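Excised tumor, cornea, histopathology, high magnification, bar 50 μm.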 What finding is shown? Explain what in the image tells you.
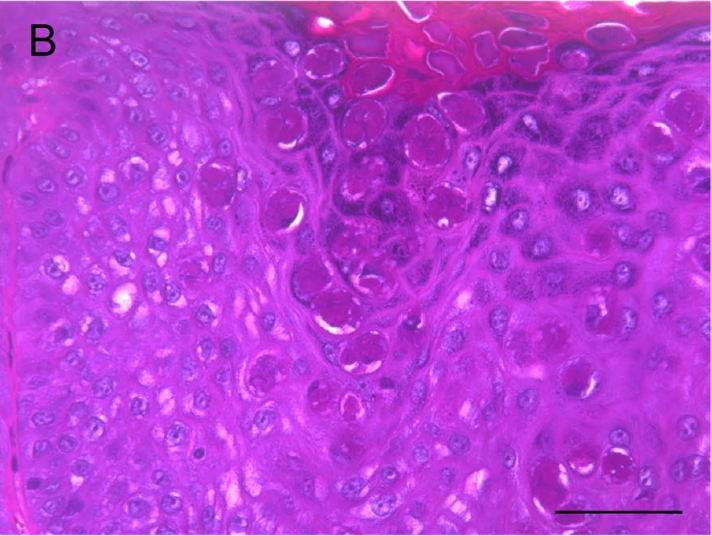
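These swollen cells gather toward the surface of the epithelium. Some of the masses are separated from the surrounding cell by a clear crescent. That points to this answer: molluscum bodies.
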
